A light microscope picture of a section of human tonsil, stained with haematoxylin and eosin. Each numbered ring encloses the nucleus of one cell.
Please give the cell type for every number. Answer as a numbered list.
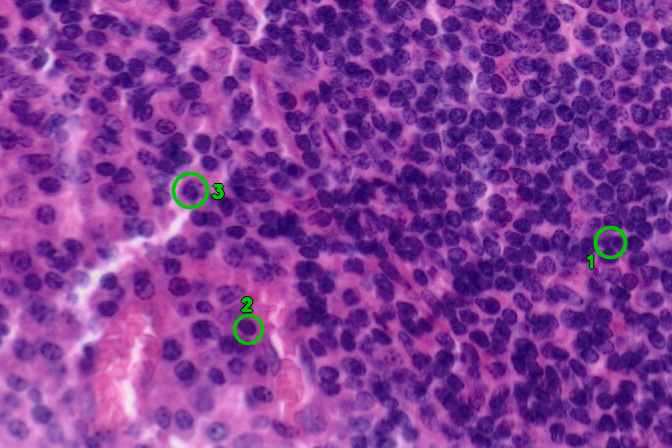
1. small lymphocyte
2. plasma cell
3. plasma cell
